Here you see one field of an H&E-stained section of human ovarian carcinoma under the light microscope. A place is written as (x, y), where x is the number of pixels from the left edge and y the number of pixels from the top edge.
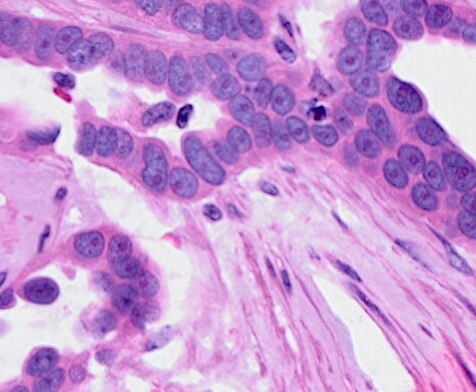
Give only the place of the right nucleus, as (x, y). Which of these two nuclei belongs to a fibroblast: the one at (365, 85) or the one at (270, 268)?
(270, 268)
